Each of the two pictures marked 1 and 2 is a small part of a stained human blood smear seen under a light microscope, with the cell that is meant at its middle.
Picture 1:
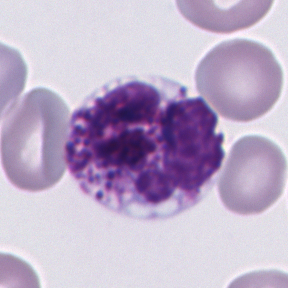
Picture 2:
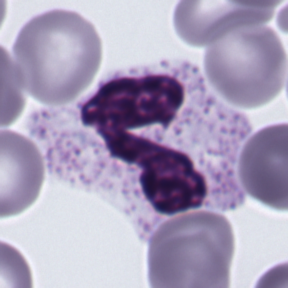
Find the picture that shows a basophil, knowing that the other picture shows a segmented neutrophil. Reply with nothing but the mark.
1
